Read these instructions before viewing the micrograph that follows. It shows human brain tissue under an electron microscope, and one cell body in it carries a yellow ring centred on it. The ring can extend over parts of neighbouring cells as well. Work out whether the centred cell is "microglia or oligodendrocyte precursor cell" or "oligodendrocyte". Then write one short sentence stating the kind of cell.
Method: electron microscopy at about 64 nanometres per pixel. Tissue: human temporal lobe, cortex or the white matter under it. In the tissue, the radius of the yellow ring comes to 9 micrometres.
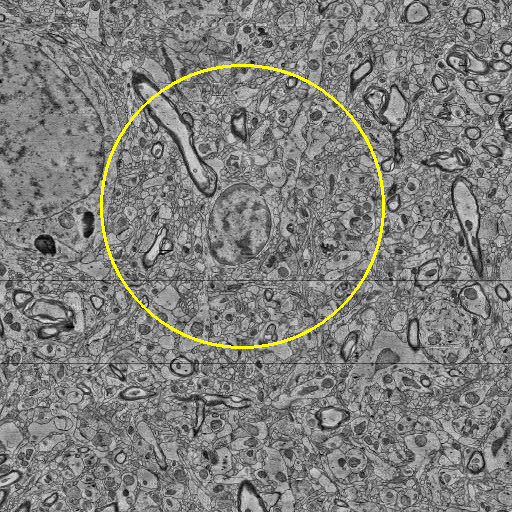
The ringed cell is a microglial cell or oligodendrocyte precursor cell.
